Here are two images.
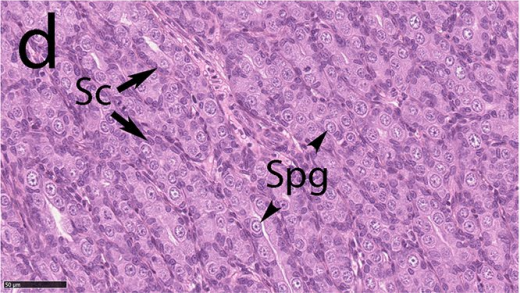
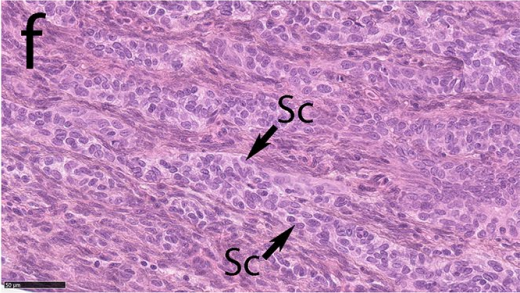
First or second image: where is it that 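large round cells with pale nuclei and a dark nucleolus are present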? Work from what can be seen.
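Second image: only small cells with dark oval nuclei in streams, no large pale round cells. First image: many large round cells with pale nuclei and a dark central nucleolus.
Conclusion: the first image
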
